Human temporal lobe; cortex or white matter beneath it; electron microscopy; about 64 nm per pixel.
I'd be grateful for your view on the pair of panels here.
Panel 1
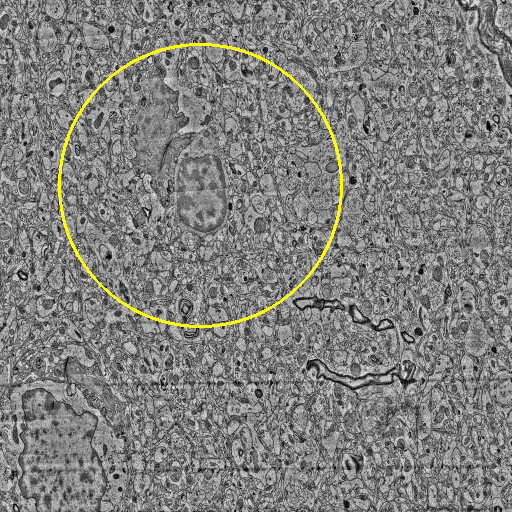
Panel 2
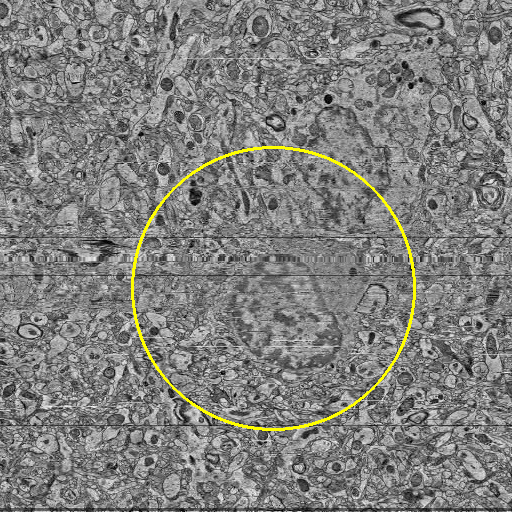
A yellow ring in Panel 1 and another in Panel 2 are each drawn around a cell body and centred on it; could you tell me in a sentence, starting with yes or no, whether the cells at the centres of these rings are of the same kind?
Yes, they are the same kind of cell.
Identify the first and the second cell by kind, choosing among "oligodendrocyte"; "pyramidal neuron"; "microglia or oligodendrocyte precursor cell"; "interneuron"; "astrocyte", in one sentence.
Each cell, in the first picture and the second, is an oligodendrocyte.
